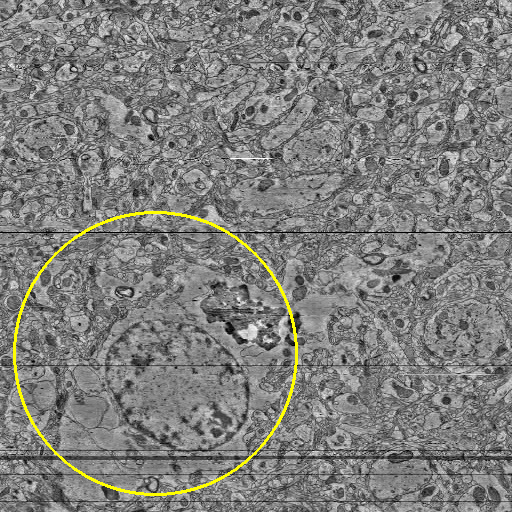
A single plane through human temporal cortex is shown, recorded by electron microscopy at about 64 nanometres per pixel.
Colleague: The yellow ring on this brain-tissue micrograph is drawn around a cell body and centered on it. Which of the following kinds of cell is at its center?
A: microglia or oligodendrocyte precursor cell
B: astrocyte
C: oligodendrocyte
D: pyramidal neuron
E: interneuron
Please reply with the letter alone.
B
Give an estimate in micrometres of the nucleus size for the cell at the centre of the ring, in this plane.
About 10 micrometres by about 8 micrometres in this plane.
